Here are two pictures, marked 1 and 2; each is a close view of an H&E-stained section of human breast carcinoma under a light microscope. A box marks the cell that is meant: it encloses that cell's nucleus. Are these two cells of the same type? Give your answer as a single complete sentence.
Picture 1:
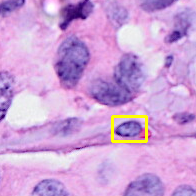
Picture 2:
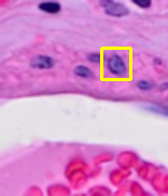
Yes, the two pictures both show endothelial cells.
